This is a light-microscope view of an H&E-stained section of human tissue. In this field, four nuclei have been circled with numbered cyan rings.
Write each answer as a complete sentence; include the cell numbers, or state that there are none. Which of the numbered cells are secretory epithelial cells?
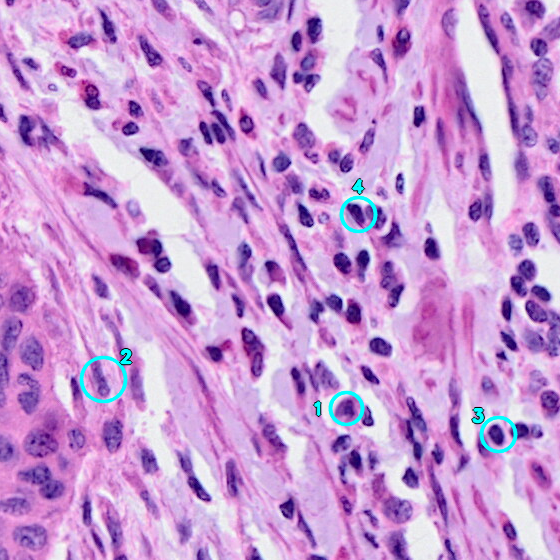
Across all the numbered cells, no secretory epithelial cells are present.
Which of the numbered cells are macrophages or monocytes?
Of the numbered cells, only cell 1 is a macrophage or monocyte.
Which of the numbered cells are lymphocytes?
To be specific, the cells numbered 3 and 4 are lymphocytes.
